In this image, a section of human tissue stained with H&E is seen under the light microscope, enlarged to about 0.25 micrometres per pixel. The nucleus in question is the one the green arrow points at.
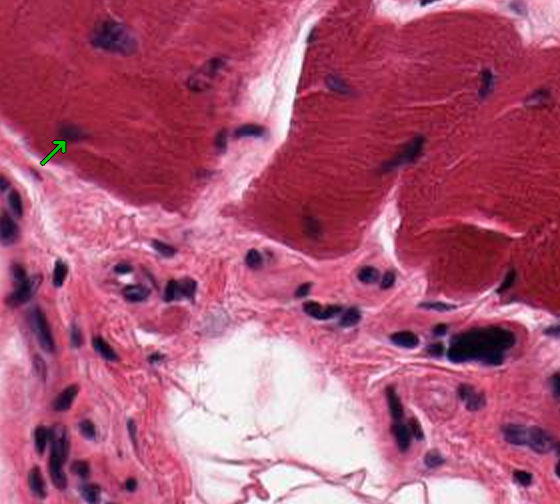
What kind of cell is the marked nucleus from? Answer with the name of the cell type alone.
skeletal muscle fibre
